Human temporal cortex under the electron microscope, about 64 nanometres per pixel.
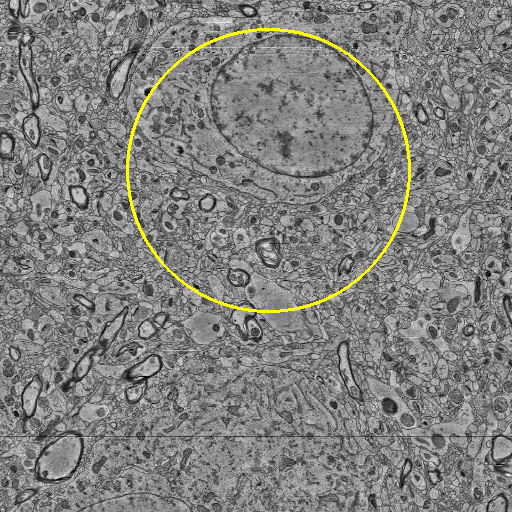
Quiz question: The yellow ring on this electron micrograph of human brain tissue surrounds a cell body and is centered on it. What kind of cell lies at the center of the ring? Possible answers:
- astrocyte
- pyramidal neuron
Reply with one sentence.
The ring's center lies on a pyramidal neuron.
